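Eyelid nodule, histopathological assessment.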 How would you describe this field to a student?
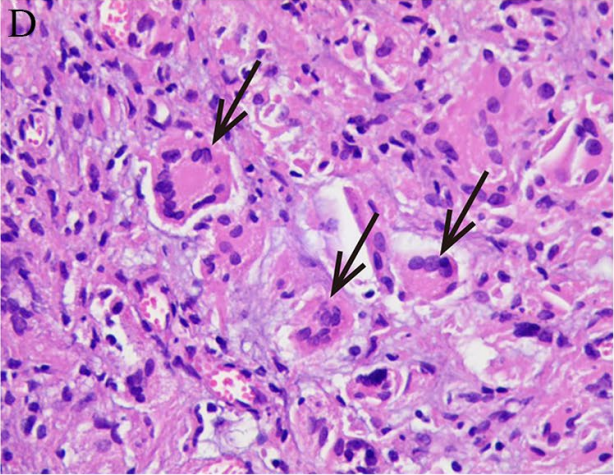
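A diffuse infiltrate of inflammatory cells, mostly histiocytes with oval to elongated purple nuclei and pale pink cytoplasm, fills a loose pink stroma with scattered small vessels holding red blood cells. Scattered among them are several large multinucleated giant cells whose nuclei cluster or form a ring around a central pink cytoplasm, some edged by paler cytoplasm.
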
